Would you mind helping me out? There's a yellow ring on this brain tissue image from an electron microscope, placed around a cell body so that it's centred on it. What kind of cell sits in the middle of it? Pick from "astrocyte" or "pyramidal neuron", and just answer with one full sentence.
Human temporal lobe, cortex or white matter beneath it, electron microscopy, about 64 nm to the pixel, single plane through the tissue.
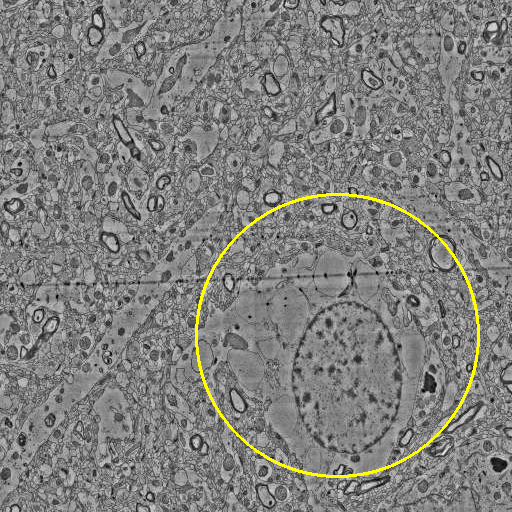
What sits in the middle of that yellow ring is an astrocyte, from your choices.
